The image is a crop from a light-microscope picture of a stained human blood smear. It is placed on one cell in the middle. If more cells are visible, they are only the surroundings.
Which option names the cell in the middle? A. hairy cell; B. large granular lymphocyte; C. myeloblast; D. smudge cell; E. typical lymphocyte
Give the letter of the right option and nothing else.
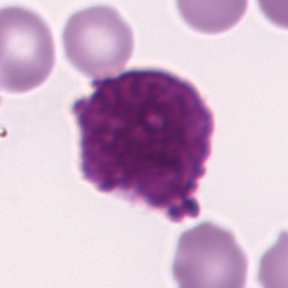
D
